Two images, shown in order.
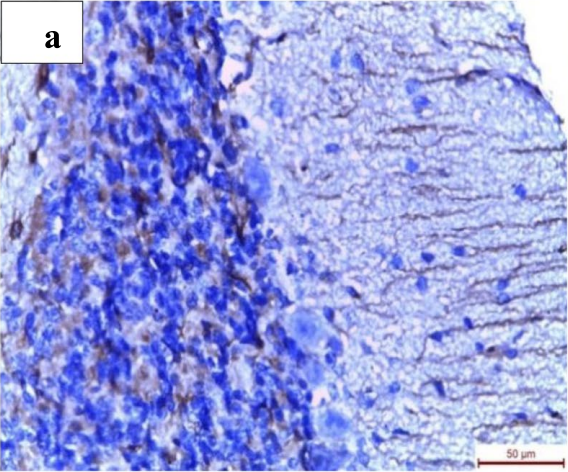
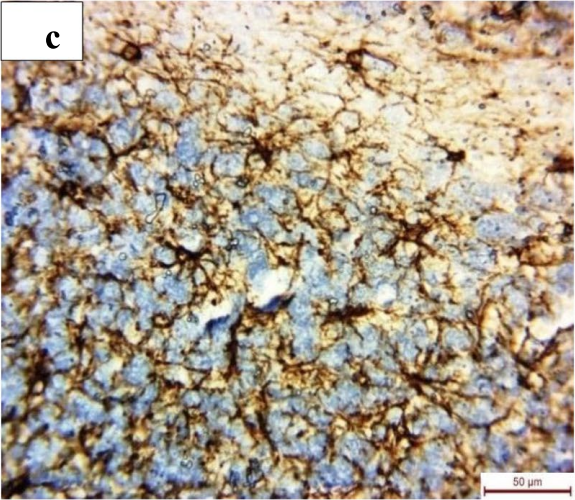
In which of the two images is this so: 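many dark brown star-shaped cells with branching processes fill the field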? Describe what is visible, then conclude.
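Second image: numerous dark brown star-shaped cells with dense branching processes. First image: mostly blue nuclei with only faint brown staining and a few thin brown fibres.
The second image.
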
